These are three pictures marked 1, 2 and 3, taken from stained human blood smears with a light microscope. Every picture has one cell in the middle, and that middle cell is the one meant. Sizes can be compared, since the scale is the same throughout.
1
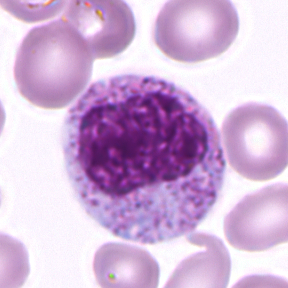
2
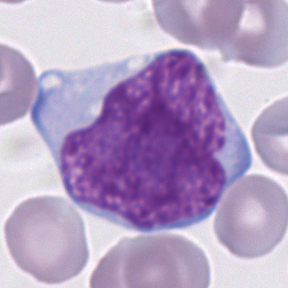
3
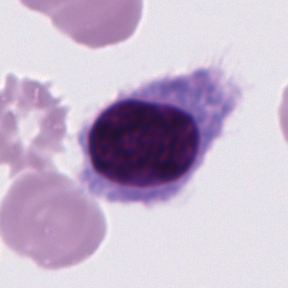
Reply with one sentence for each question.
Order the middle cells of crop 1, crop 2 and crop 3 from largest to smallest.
From the largest down, the order is 2, 1, 3.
